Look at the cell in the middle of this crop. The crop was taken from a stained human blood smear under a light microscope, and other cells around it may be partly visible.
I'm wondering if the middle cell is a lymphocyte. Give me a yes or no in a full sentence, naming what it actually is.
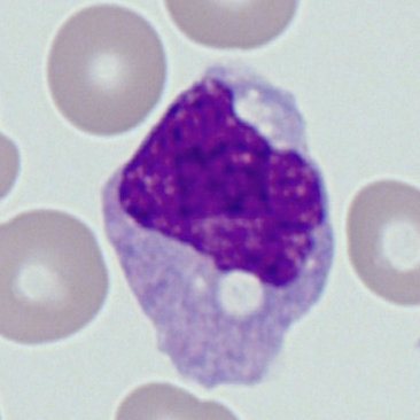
No, it is a monocyte rather than a lymphocyte that the middle of the crop contains.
